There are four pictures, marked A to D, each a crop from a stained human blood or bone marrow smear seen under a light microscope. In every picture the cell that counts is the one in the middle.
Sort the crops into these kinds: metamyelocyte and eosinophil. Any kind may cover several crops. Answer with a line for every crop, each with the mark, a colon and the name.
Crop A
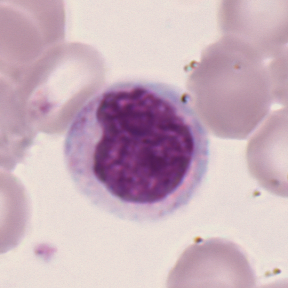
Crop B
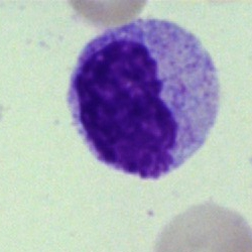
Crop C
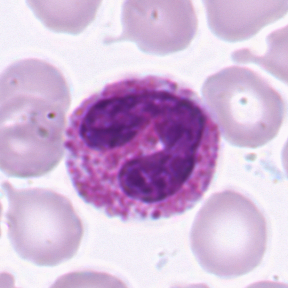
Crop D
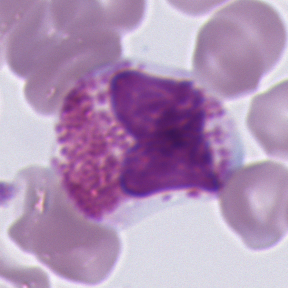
A: metamyelocyte
B: metamyelocyte
C: eosinophil
D: eosinophil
